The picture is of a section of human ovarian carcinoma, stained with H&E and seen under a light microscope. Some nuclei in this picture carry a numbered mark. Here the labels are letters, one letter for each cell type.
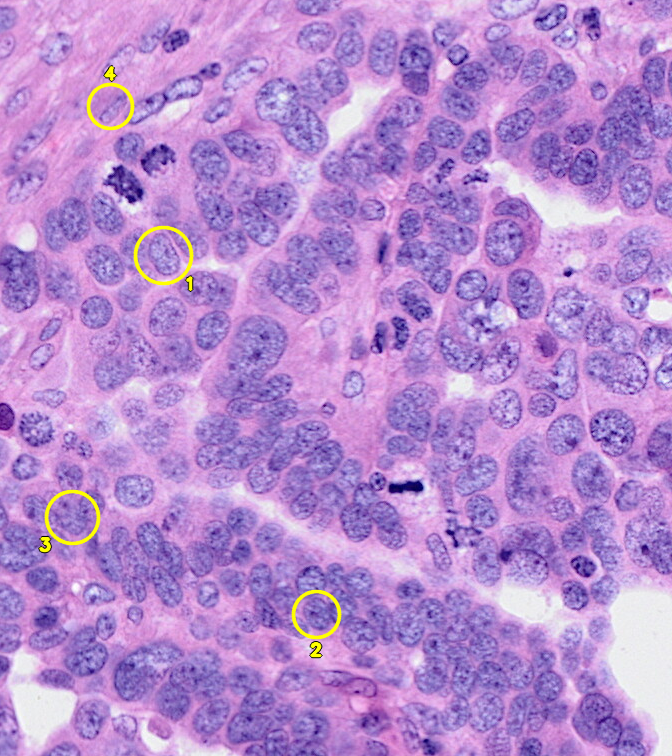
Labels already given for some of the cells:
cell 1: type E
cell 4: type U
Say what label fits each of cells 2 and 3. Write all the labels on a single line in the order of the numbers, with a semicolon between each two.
type E; type E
